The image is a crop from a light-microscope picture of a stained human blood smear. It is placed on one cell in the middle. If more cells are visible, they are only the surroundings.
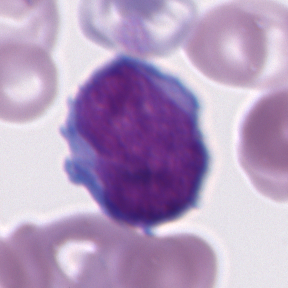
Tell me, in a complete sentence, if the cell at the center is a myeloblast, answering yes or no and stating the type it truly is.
Yes, the cell that is in the middle is a myeloblast.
